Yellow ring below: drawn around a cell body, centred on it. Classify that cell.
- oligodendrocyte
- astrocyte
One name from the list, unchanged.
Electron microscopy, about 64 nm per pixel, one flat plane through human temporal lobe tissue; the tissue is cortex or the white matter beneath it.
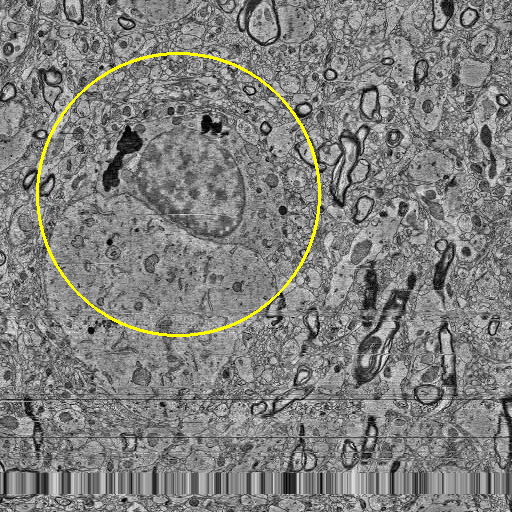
oligodendrocyte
